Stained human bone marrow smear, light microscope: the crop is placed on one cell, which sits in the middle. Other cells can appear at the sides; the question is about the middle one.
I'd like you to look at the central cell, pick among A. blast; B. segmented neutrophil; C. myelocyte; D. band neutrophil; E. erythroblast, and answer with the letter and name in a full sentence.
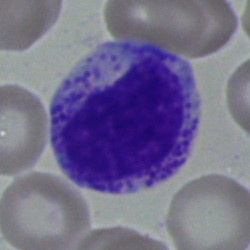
This one is option C, since the cell at the center is a myelocyte.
